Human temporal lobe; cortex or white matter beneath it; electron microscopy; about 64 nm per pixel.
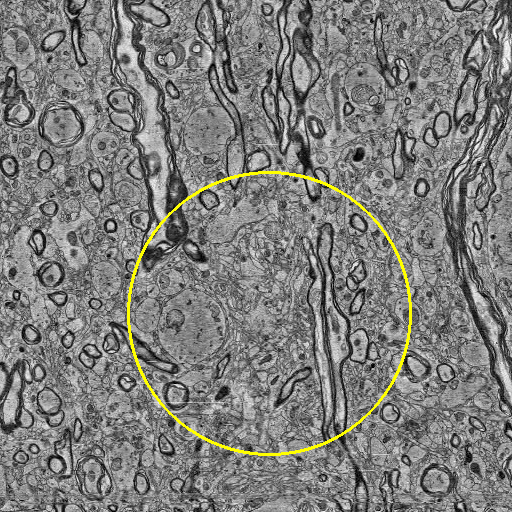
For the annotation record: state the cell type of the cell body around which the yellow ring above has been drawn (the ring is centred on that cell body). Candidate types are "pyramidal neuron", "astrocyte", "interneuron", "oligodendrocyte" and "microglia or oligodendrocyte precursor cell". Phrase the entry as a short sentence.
The ringed cell is an oligodendrocyte.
